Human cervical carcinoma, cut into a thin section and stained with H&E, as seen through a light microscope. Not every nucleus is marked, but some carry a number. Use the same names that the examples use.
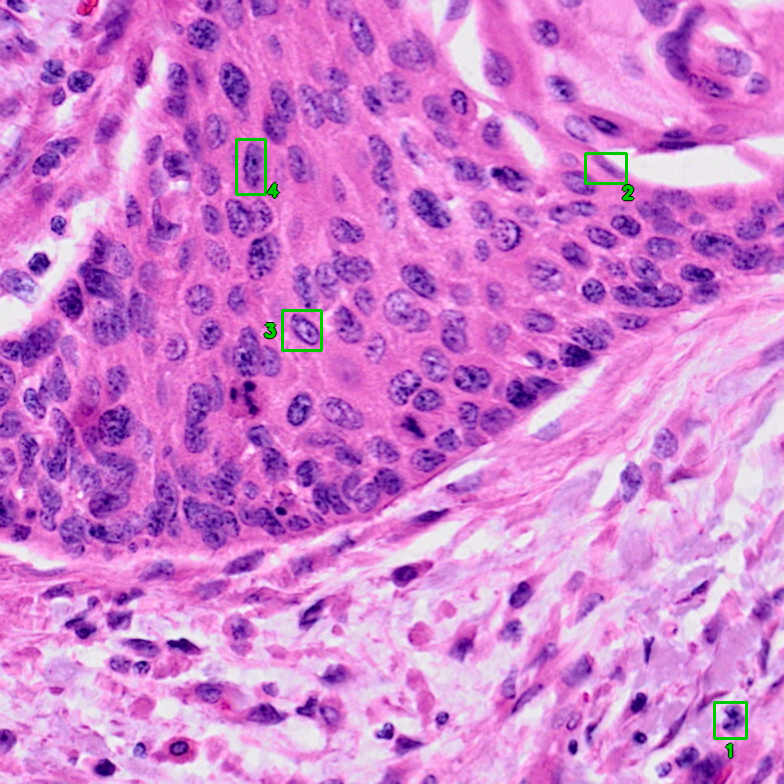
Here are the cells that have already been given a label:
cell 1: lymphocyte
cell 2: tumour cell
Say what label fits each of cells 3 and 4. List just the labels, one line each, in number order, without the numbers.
tumour cell
tumour cell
